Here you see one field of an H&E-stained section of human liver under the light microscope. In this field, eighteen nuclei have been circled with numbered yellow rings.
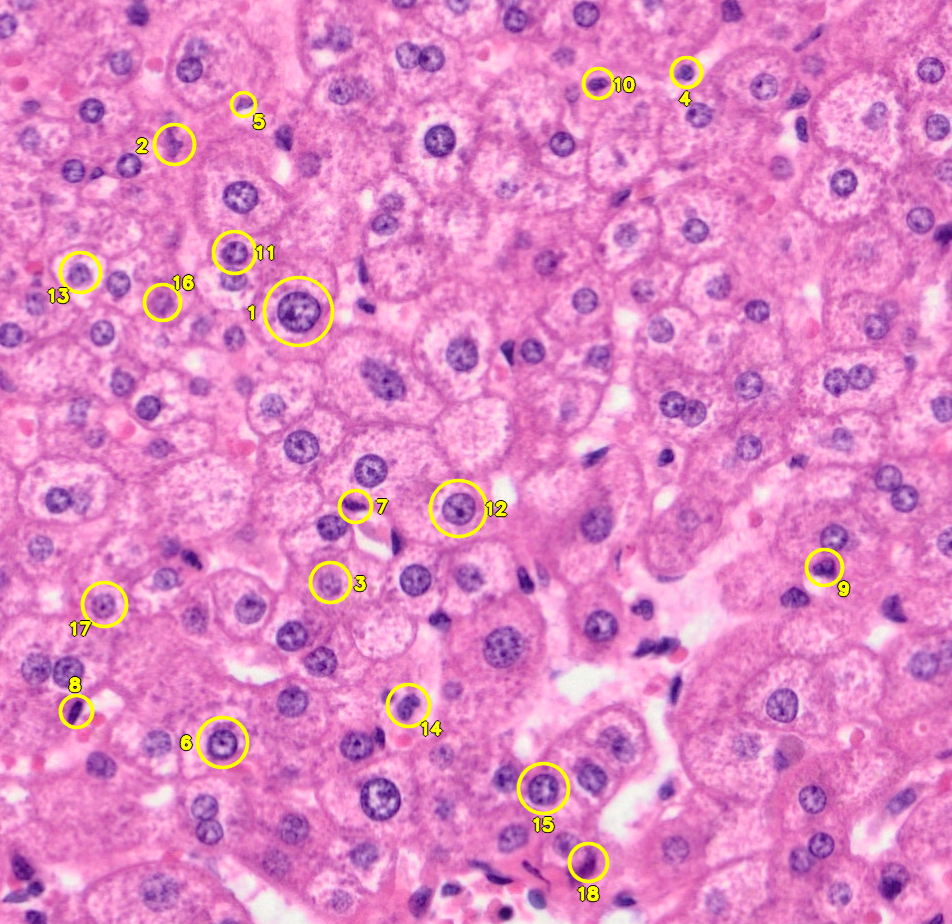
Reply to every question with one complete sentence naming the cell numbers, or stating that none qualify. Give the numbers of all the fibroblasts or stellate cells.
The cells with the number labels 7, 8, 9 and 18 are fibroblasts or stellate cells.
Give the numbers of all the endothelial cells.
The cells given the numbers 2 and 5 are endothelial cells.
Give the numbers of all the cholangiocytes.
Of the numbered cells, none are cholangiocytes.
